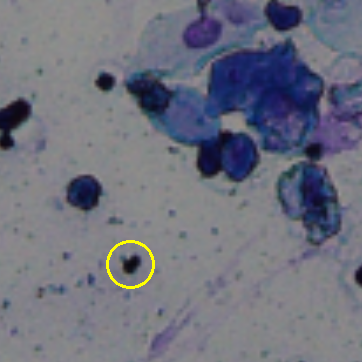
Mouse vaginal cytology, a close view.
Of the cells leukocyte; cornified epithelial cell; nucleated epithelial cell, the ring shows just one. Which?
The ring shows a leukocyte.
